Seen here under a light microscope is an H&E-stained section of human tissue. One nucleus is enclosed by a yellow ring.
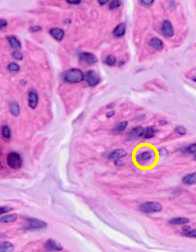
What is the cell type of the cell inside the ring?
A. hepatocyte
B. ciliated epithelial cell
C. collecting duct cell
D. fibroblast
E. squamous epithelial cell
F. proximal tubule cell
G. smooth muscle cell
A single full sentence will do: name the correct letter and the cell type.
Under option G, the cell inside the ring is a smooth muscle cell, which is the correct identification.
